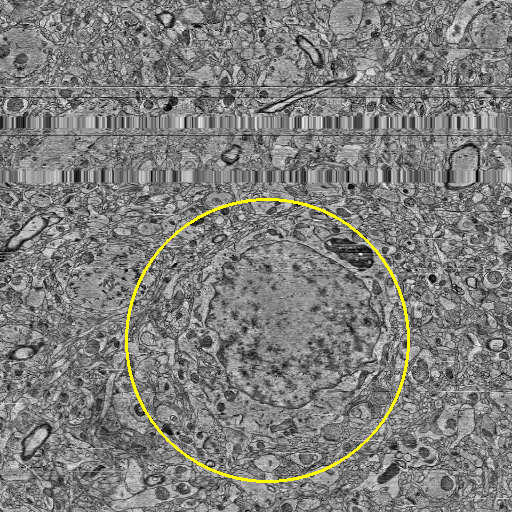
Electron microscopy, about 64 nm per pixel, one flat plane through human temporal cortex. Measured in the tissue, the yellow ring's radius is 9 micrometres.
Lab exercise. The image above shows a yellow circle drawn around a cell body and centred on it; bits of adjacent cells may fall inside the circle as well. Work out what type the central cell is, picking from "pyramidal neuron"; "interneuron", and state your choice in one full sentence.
In the image above, the cell at the centre of the yellow circle is an interneuron.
